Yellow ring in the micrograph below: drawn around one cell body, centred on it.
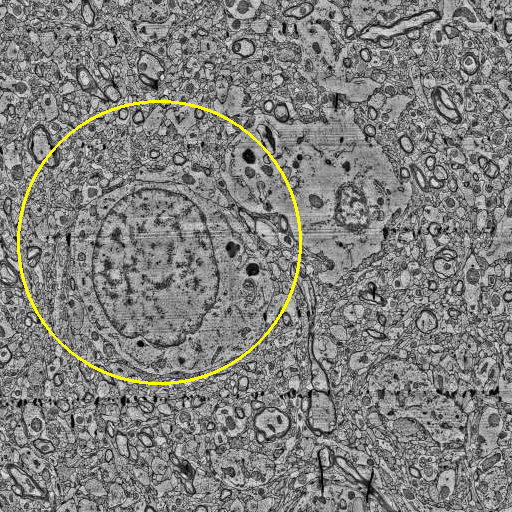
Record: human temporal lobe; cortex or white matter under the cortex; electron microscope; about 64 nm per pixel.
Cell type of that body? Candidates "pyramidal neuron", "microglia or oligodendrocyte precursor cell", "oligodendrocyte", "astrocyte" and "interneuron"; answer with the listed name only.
pyramidal neuron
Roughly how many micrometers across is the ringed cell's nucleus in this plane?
About 10 by 8 micrometres in this plane.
